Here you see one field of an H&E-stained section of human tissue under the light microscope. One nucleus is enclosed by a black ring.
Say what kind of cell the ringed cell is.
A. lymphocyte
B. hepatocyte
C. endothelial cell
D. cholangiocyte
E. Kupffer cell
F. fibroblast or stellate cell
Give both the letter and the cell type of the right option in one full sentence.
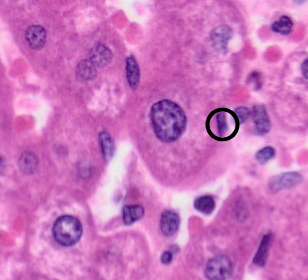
It is correct to say that the ringed cell is a fibroblast or stellate cell, as option F does.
